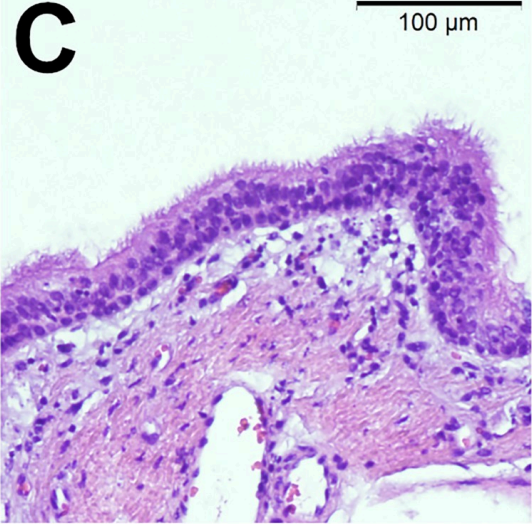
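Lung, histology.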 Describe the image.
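This is the wall of a large airway lined by an intact, continuous pseudostratified columnar epithelium. The epithelial cells are tall and crowded, with oval, dark purple nuclei stacked at several levels and a fringe of fine cilia on the luminal surface. Beneath the epithelium lies loose pale connective tissue with scattered small nuclei and thin-walled vessels, and deeper a pink, more fibrous layer. The lumen above is empty and the lining shows no breaks.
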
